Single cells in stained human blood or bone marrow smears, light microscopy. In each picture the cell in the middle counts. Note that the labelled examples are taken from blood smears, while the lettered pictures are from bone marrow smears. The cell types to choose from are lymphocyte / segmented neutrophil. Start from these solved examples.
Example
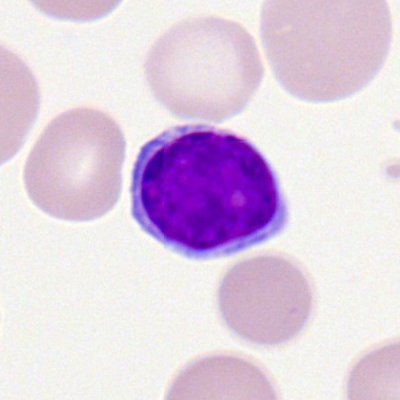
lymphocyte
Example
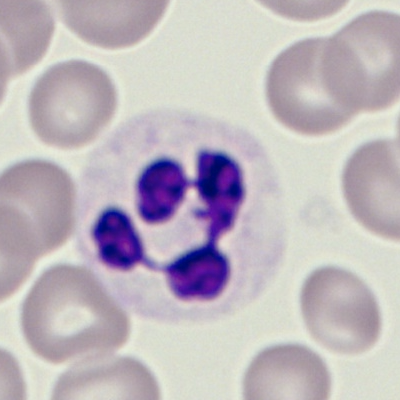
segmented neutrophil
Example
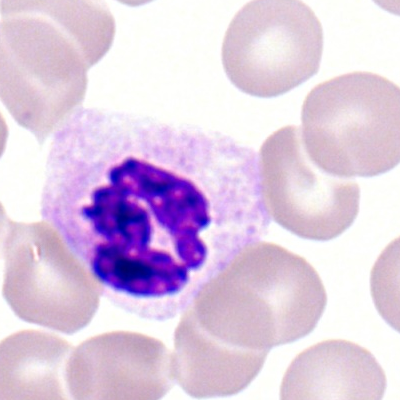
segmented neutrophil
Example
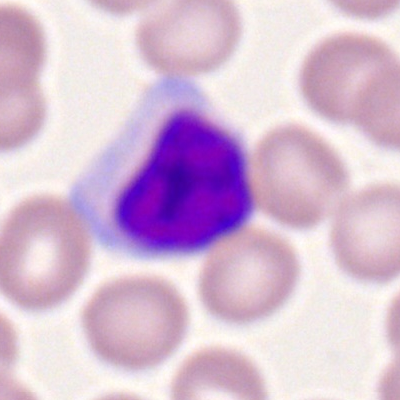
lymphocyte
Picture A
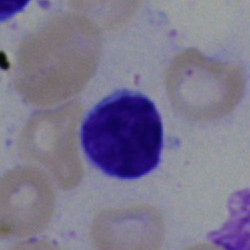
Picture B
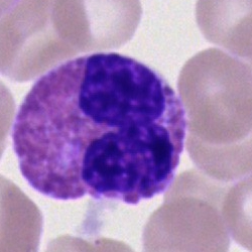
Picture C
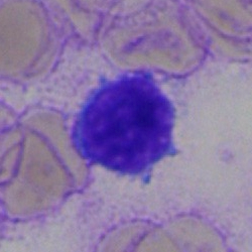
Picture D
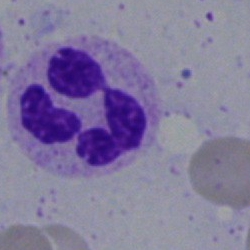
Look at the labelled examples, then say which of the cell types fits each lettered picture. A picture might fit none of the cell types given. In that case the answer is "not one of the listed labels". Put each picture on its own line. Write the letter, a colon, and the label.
A: lymphocyte
B: not one of the listed labels
C: lymphocyte
D: segmented neutrophil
